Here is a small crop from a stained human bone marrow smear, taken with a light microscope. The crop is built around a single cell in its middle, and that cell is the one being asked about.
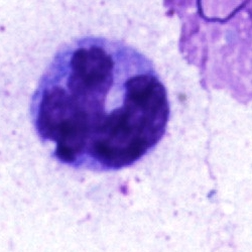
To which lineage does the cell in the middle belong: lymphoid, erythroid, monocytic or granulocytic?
monocytic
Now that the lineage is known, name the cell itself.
monocyte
